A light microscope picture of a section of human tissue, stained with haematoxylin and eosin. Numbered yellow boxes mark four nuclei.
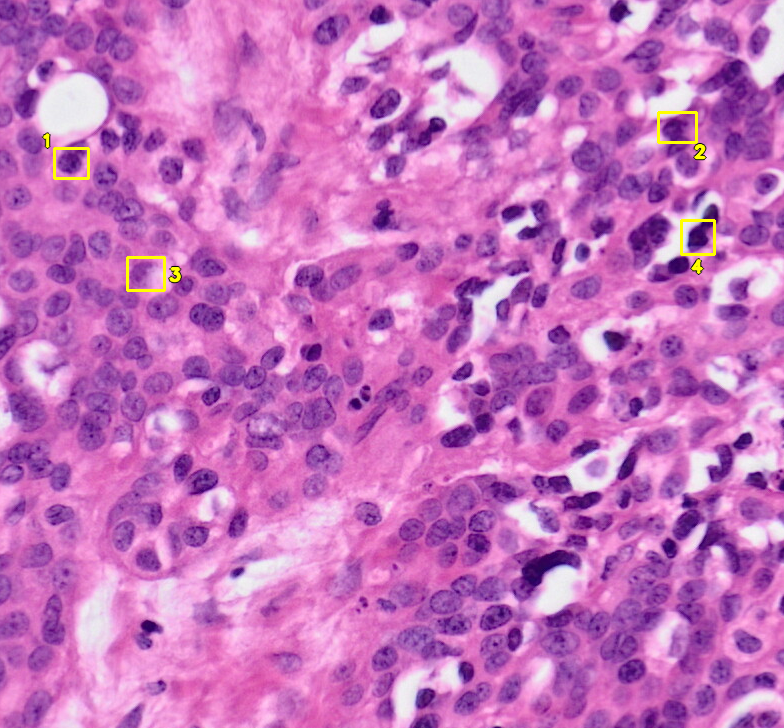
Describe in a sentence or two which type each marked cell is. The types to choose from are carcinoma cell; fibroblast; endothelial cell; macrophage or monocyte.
Cell 1 is a macrophage or monocyte. Cells 2, 3 and 4 are carcinoma cells.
